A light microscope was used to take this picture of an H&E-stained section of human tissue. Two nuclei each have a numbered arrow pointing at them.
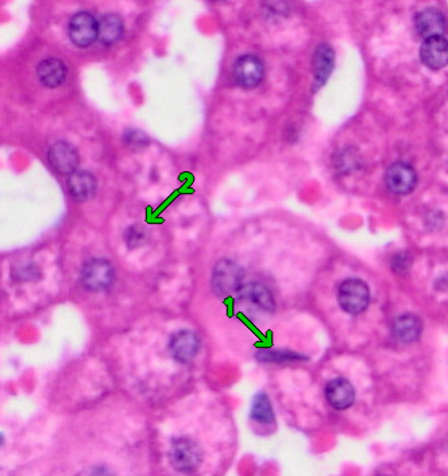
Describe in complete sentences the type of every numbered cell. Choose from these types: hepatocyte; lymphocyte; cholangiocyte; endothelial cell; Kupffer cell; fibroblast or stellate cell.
Cell 1 is a Kupffer cell. Cell 2 is a hepatocyte.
